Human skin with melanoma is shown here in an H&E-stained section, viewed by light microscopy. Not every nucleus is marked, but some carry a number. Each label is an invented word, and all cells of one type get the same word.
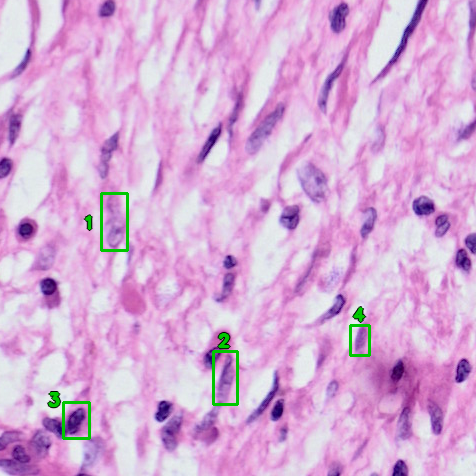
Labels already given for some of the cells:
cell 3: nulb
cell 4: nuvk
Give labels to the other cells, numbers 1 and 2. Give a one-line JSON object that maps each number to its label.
{"1": "nuvk", "2": "nuvk"}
